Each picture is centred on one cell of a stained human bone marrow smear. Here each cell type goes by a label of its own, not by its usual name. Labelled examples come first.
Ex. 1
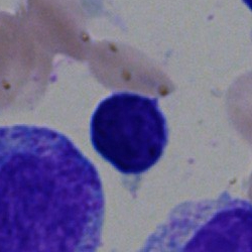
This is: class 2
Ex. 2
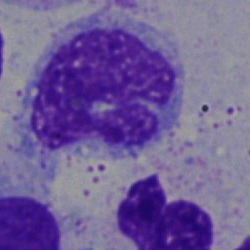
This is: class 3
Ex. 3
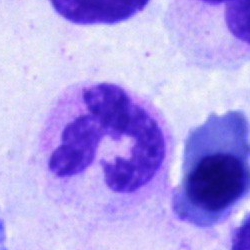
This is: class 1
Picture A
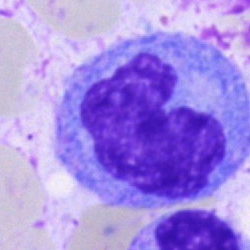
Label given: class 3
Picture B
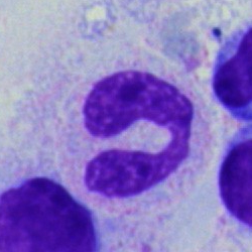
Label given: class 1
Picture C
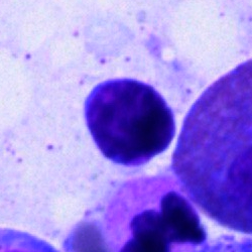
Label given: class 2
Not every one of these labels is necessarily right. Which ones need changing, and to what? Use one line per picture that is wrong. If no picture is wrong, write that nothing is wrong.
Nothing to fix; every label fits.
